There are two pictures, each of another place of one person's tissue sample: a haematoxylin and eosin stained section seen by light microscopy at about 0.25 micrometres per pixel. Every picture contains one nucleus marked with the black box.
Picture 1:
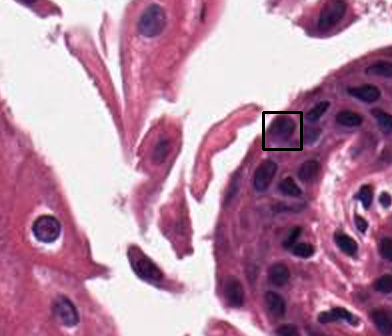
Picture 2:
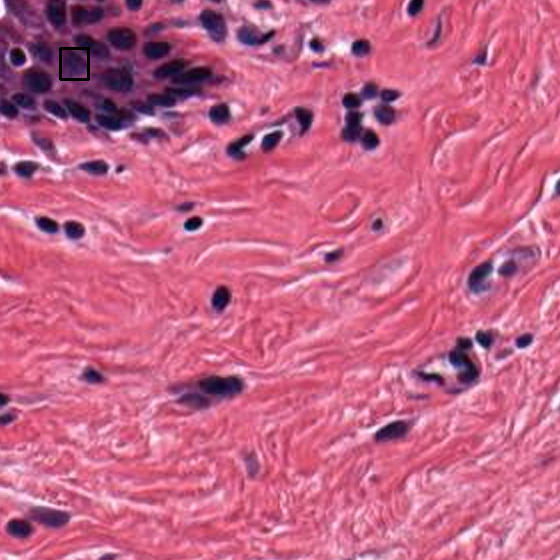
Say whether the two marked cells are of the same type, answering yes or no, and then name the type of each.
Yes, both are squamous epithelial cells.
